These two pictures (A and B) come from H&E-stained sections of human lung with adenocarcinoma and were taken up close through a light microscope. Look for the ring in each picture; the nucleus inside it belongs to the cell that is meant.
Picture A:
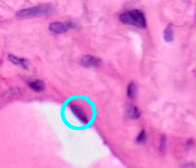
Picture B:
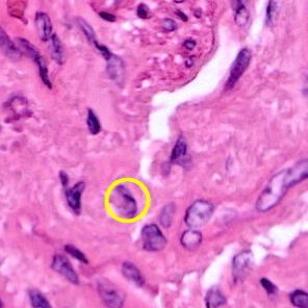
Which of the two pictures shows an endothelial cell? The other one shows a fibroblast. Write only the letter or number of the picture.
A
